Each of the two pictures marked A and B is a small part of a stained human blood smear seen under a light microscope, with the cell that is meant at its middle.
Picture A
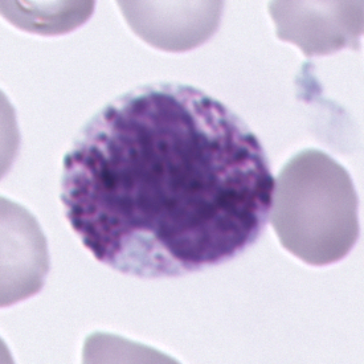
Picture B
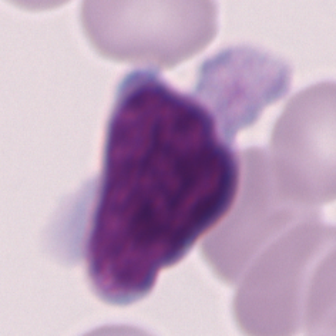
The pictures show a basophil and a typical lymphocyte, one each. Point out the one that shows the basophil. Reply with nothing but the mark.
A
